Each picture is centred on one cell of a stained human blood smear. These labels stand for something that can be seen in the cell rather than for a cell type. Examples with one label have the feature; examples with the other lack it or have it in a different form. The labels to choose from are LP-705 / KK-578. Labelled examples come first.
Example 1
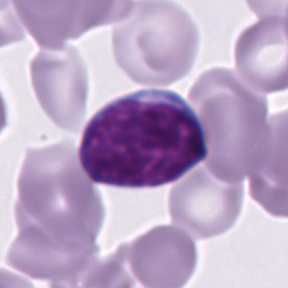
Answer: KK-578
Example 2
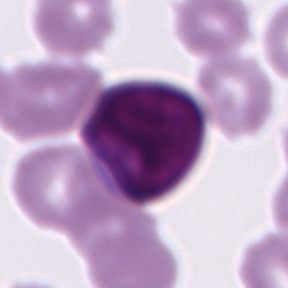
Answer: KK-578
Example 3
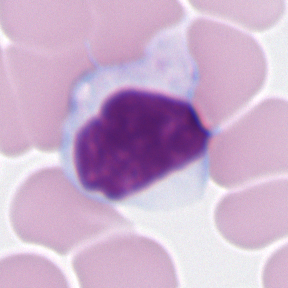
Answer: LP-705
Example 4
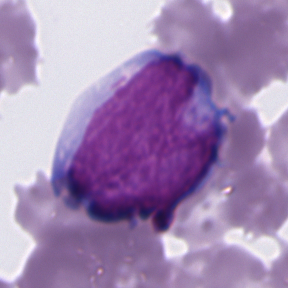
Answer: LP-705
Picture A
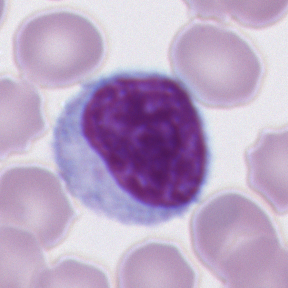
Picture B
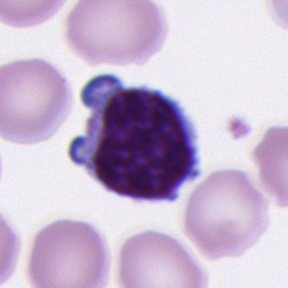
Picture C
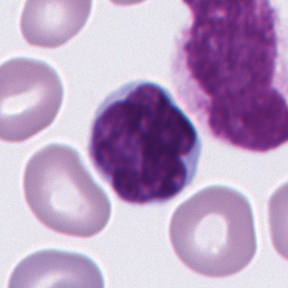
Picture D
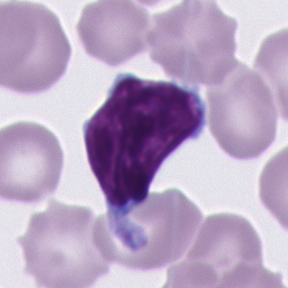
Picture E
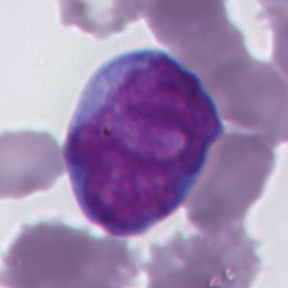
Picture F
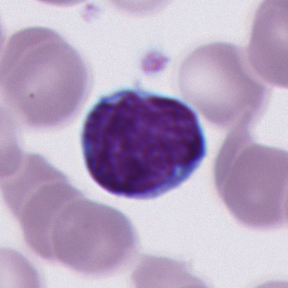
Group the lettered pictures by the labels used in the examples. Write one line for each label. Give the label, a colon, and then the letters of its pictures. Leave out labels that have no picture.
LP-705: B, D
KK-578: A, C, E, F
